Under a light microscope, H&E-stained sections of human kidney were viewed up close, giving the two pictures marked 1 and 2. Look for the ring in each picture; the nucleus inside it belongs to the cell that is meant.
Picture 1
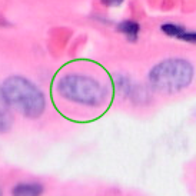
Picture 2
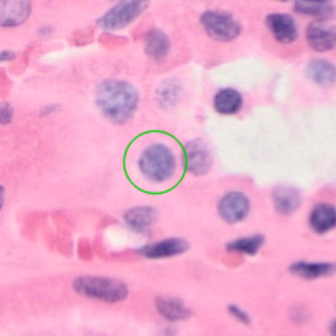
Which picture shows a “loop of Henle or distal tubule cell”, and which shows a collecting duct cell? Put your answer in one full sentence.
Picture 1 is of a collecting duct cell, and picture 2 is of a “loop of Henle or distal tubule cell”.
